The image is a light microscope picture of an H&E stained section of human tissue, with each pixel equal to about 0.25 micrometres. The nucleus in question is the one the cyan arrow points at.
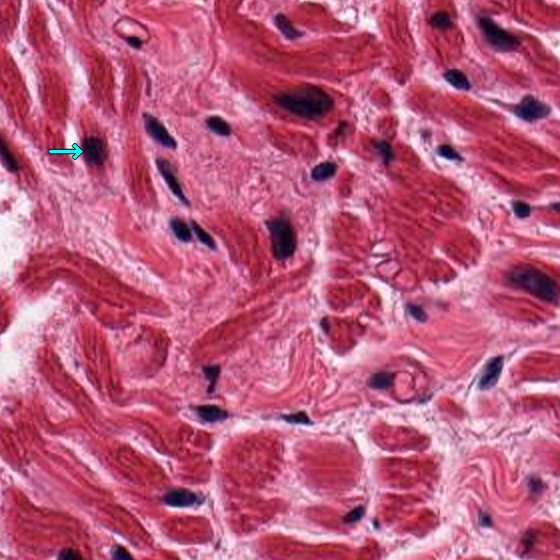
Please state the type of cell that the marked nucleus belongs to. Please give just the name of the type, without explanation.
cardiomyocyte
